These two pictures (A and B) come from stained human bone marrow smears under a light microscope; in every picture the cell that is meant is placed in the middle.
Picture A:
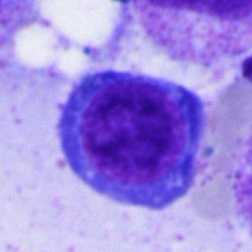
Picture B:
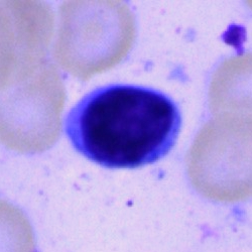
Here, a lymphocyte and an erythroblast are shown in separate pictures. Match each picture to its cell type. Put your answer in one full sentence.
Picture A is of an erythroblast, and picture B is of a lymphocyte.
